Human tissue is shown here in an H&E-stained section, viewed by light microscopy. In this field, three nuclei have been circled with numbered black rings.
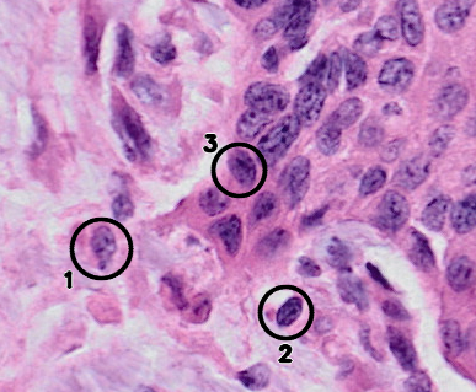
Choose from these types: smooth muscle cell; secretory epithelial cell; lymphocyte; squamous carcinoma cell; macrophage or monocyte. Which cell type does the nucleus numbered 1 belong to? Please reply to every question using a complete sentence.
The marked cell with the number 1 is recognised as a macrophage or monocyte.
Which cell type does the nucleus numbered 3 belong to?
The cell indicated by marker 3 is a squamous carcinoma cell in this section.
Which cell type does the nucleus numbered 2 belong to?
The correct label for cell 2 is a lymphocyte.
